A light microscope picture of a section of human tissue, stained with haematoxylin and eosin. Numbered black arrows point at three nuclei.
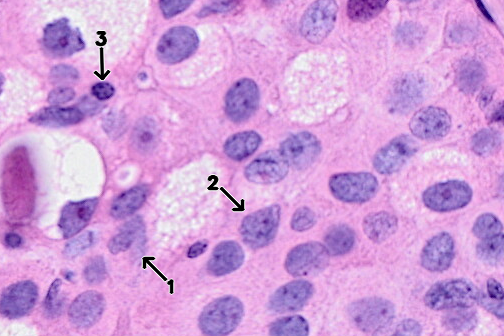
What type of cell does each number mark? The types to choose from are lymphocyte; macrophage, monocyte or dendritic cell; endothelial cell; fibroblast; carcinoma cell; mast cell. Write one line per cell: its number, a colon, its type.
1: carcinoma cell
2: carcinoma cell
3: lymphocyte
